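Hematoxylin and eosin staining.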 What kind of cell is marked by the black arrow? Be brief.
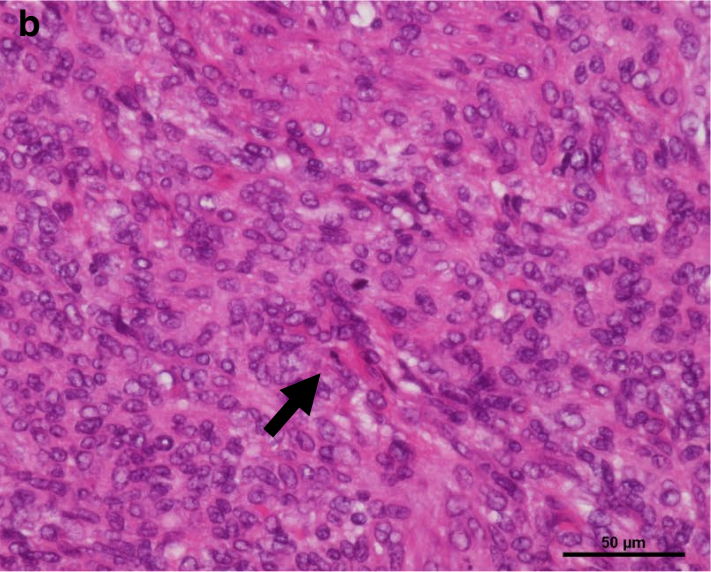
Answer: Spindle-shaped cells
